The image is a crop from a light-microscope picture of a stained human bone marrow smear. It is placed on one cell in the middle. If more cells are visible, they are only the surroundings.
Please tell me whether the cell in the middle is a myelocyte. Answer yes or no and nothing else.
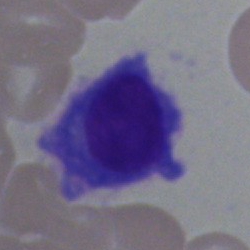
no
